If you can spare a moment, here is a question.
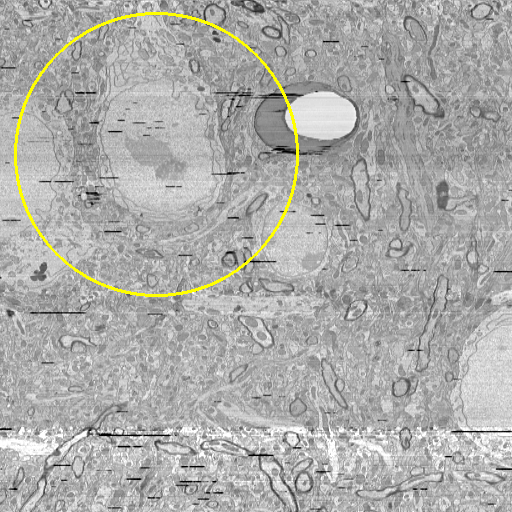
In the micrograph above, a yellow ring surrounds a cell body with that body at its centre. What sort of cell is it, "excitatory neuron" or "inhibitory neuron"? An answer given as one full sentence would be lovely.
Centred inside the yellow ring, the cell body shown belongs to an inhibitory neuron in this micrograph.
